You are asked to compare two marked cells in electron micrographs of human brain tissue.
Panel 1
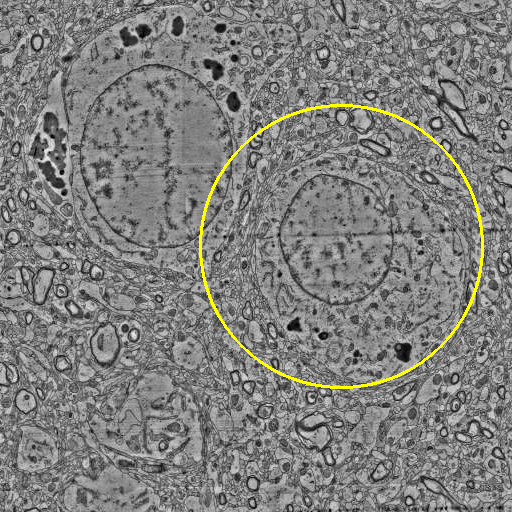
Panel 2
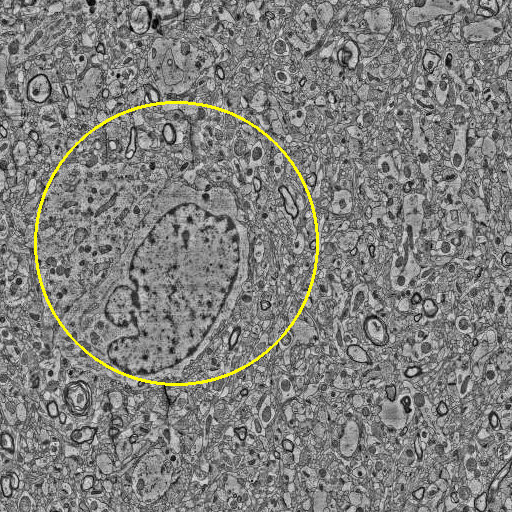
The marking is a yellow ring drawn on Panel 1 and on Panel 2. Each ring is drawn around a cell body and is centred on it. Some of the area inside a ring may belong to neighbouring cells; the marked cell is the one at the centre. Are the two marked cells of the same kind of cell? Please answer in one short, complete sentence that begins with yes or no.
No, the two marked cells are of two kinds.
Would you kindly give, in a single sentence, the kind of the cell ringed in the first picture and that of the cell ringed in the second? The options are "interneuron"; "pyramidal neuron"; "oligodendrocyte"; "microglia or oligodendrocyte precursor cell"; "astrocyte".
The second cell is a microglial cell or oligodendrocyte precursor cell, and the first cell is a pyramidal neuron.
